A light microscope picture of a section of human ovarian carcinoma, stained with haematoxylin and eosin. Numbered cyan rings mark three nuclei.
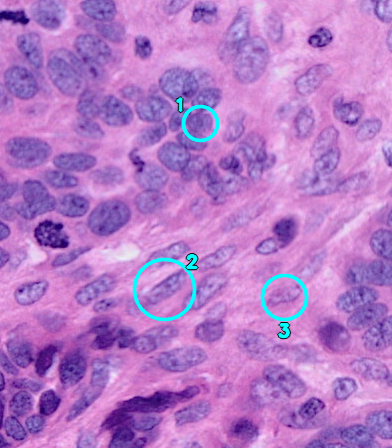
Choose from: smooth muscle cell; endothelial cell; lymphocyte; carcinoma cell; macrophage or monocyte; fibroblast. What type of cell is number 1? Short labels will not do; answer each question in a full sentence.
Nucleus 1 in this section belongs to a carcinoma cell.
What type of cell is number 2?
The cell indicated with the number 2 is classed as a fibroblast.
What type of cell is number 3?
Cell 3 of the marked set is a fibroblast.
